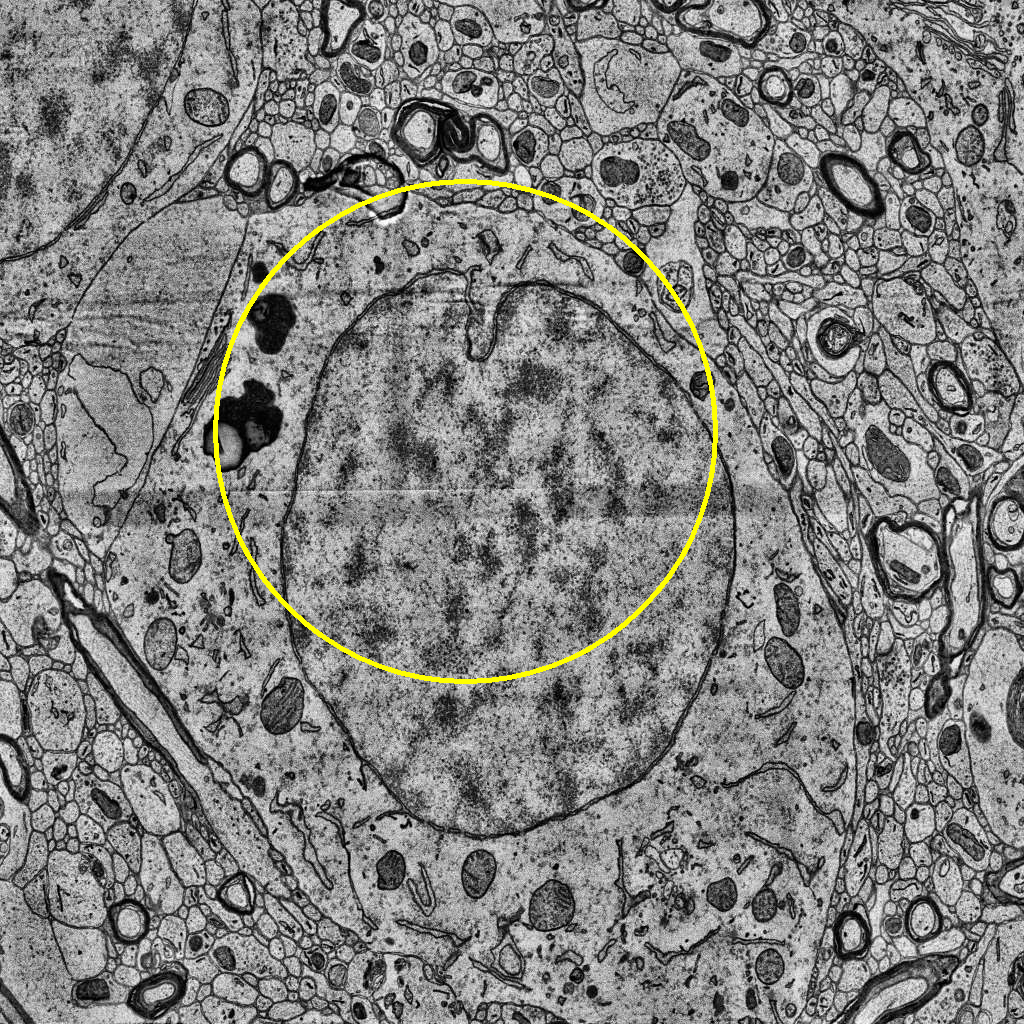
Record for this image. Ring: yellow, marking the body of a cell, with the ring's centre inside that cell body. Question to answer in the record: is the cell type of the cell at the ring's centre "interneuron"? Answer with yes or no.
no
